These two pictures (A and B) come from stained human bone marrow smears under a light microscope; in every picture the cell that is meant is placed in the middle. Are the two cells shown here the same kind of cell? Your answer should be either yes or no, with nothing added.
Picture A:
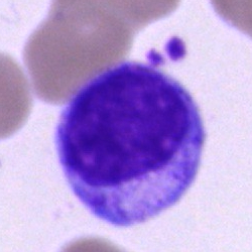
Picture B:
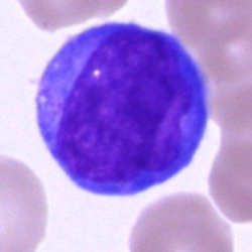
no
